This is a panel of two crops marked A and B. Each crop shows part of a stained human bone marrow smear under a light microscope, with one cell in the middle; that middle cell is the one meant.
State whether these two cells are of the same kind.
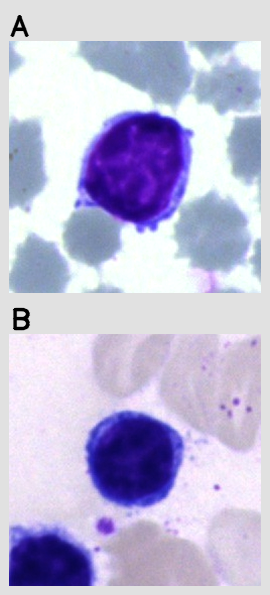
yes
